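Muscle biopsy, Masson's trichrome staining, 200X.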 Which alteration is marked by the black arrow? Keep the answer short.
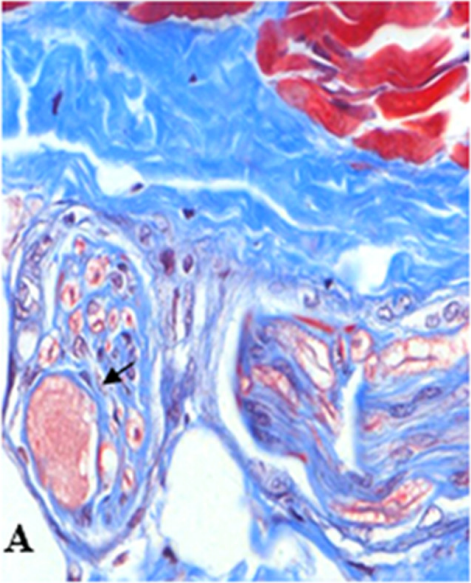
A: marked axonal distension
